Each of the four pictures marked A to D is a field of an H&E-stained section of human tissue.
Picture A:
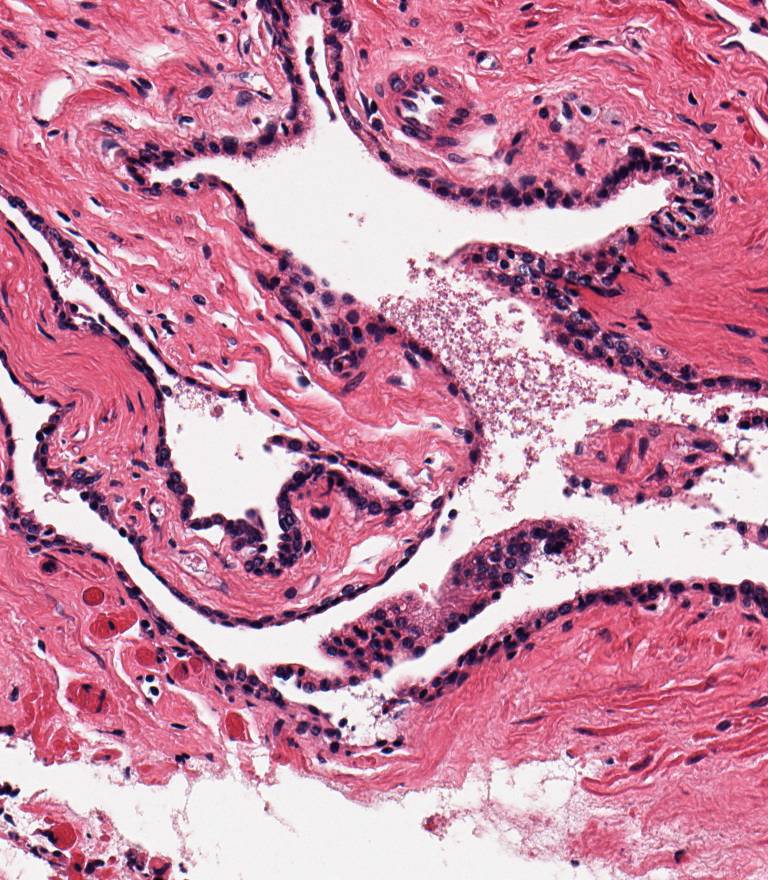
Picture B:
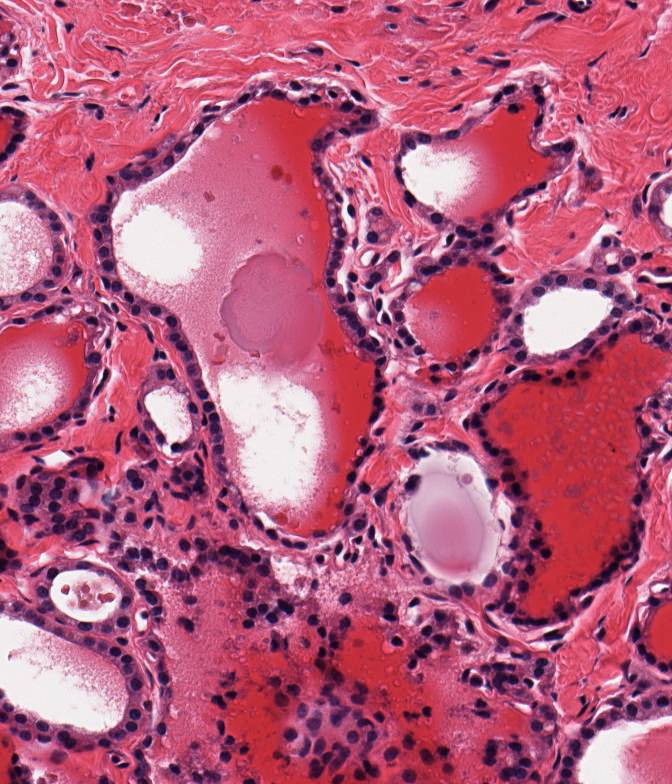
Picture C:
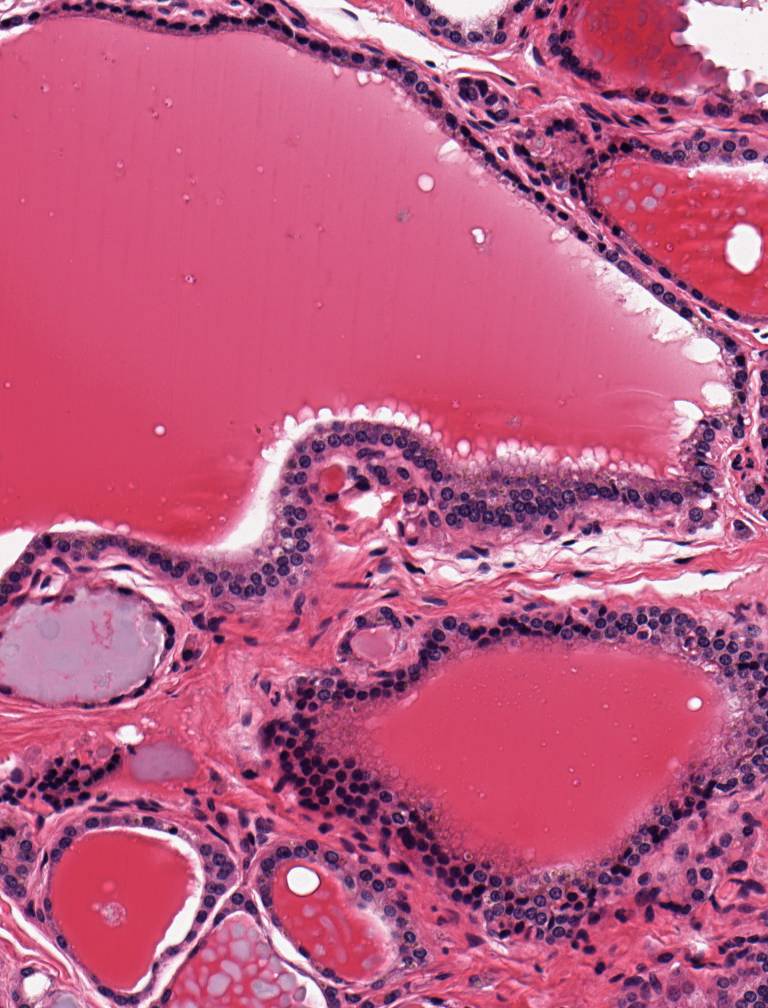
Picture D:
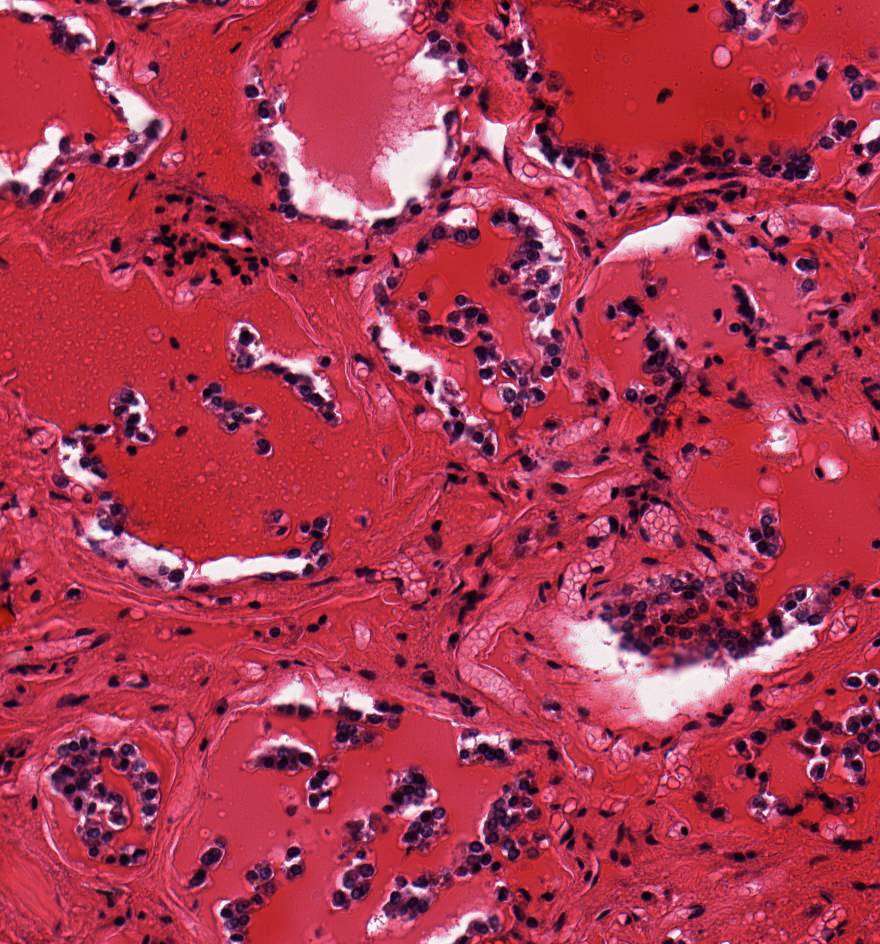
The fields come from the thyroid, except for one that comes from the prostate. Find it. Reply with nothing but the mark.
A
